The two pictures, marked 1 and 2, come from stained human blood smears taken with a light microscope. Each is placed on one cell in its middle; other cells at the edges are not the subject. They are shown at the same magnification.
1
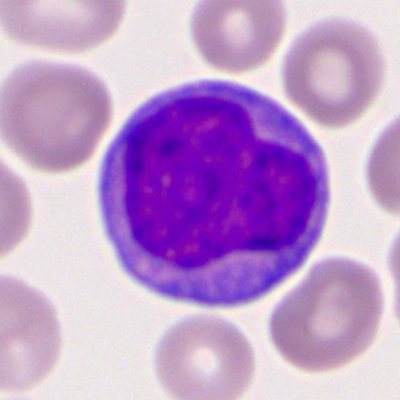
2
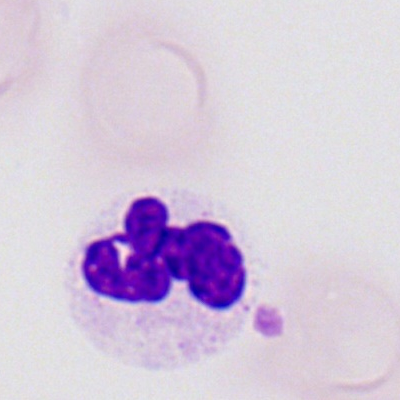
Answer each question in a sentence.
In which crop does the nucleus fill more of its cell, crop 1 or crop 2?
The nucleus fills more of the cell in crop 1 than in crop 2.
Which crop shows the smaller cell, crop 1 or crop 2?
Smaller is the cell in crop 2, and the other is about 1.5 times as large in area.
